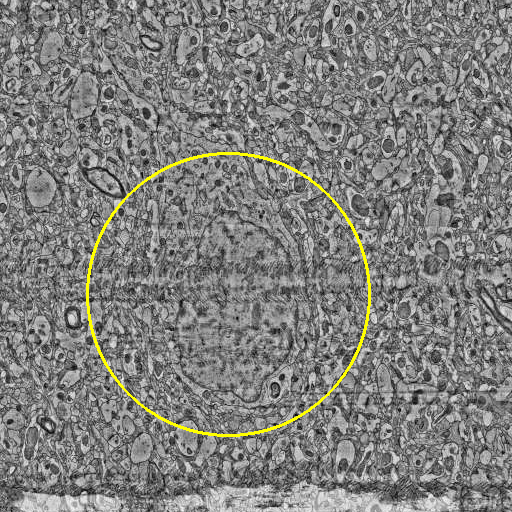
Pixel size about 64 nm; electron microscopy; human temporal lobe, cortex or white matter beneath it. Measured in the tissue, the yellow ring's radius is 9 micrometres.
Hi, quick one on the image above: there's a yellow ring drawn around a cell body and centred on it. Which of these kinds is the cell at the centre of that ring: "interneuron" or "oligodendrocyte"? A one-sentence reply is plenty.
The cell at the centre of the ring is an interneuron.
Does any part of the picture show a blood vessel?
No.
